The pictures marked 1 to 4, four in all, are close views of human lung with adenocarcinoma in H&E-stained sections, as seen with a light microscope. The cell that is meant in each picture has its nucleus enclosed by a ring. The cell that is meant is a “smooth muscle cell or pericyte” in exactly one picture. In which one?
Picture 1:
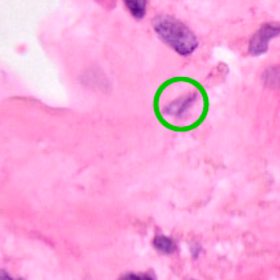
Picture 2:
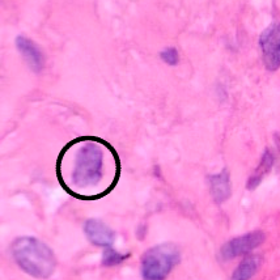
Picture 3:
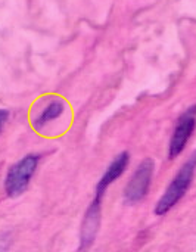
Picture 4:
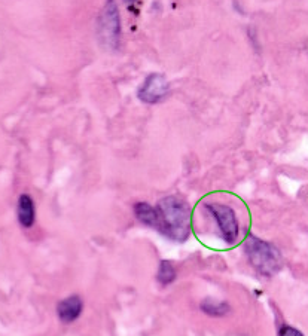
3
